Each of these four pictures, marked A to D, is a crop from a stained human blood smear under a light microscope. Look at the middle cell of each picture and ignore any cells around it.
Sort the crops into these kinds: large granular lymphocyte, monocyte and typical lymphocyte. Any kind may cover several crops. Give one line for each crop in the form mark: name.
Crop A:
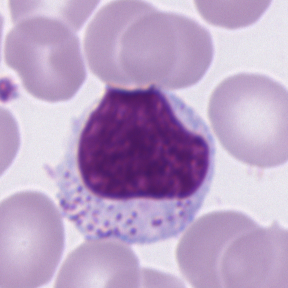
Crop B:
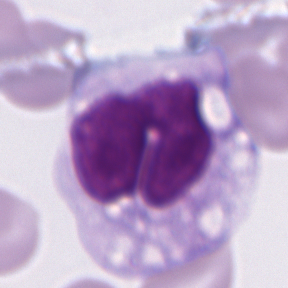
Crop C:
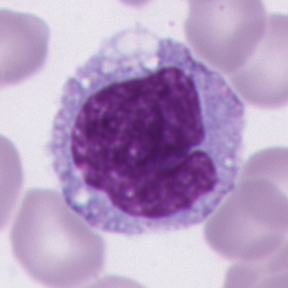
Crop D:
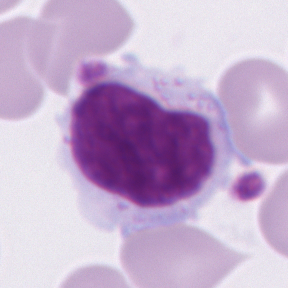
A: large granular lymphocyte
B: monocyte
C: monocyte
D: large granular lymphocyte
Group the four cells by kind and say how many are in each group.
large granular lymphocyte: 2
monocyte: 2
